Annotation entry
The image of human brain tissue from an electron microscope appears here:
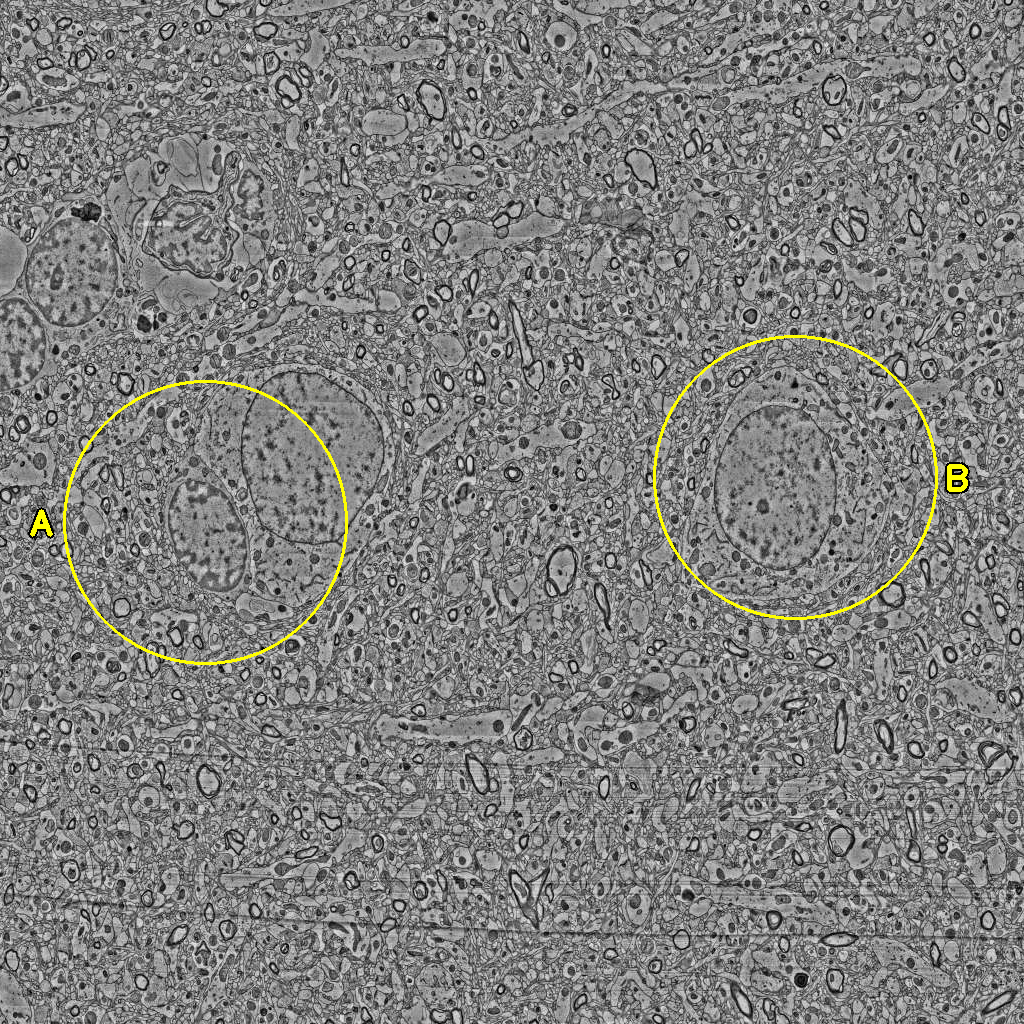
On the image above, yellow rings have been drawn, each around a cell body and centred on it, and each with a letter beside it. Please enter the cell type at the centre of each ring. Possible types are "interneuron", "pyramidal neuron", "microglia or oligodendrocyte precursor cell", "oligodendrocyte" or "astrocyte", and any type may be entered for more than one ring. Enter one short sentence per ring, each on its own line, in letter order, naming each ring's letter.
The cell that ring A is centred on is an oligodendrocyte.
The cell that ring B is centred on is an interneuron.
